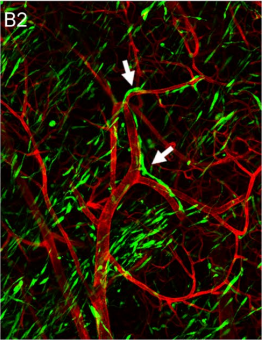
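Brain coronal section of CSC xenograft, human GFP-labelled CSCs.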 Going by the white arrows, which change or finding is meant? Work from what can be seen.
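Close juxtaposition. At the arrows, elongated green cells lie directly along red vessel walls.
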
